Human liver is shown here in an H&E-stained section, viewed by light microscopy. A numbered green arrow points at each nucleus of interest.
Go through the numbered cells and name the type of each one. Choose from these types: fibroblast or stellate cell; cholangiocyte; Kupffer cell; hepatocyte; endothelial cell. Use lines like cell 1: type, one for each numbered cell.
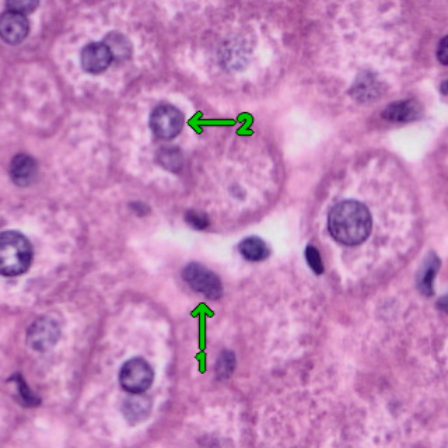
cell 1: Kupffer cell
cell 2: hepatocyte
